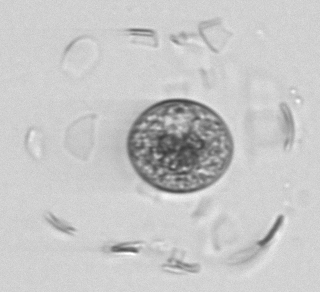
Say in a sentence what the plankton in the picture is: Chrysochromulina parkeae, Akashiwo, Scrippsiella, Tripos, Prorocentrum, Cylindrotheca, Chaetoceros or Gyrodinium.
This is Prorocentrum.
